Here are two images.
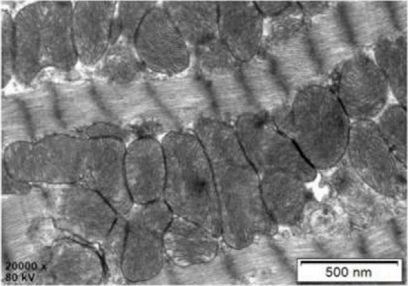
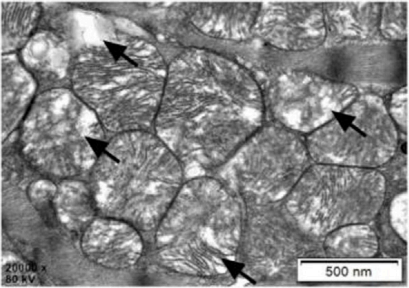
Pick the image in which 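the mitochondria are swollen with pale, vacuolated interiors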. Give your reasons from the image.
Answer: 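Second image: large rounded organelles with light interiors and pale empty patches. First image: compact oval organelles with evenly dark interiors. So: the second image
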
